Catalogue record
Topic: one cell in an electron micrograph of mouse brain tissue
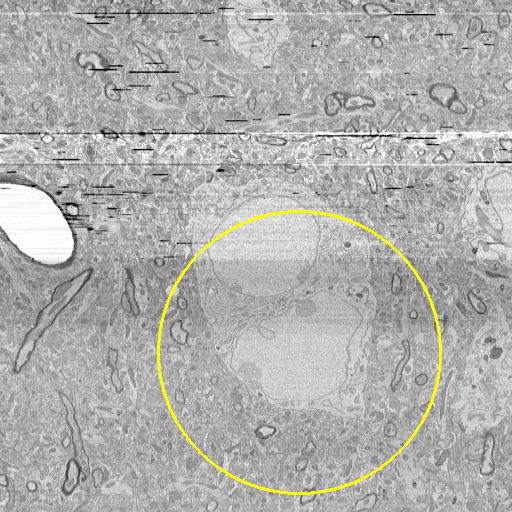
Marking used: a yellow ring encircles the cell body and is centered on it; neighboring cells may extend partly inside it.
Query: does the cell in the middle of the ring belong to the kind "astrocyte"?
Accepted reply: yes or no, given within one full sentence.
No, the cell centered in the ring in the picture is of another kind.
